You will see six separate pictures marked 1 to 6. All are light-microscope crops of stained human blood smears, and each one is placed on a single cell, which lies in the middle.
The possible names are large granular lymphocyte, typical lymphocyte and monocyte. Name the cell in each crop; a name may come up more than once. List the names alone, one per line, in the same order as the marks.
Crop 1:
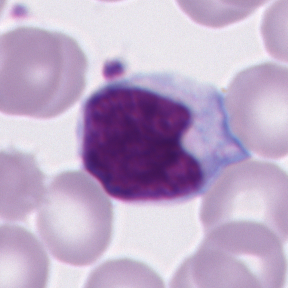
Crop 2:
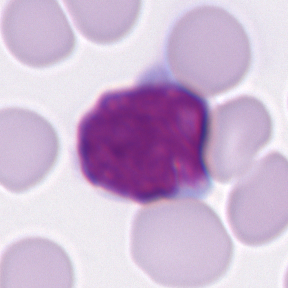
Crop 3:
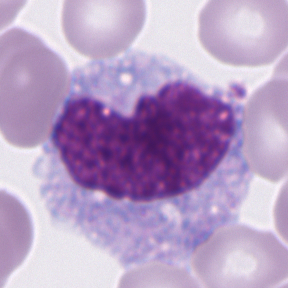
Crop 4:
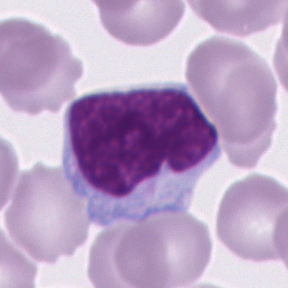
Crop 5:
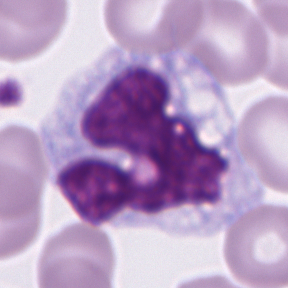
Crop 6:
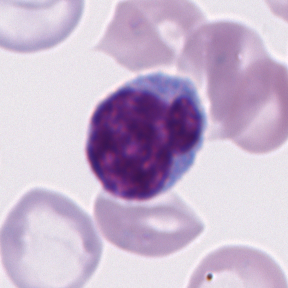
typical lymphocyte
typical lymphocyte
monocyte
typical lymphocyte
monocyte
typical lymphocyte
